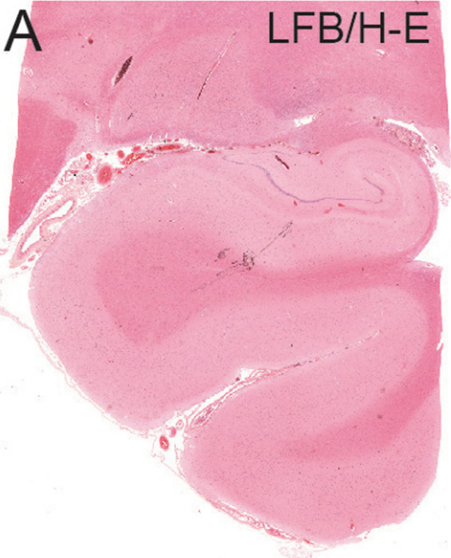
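The hippocampus forms a curled, C-shaped arrangement of darker pink cell layers lying roughly horizontally in the upper middle of the section. Above it runs a narrow cleft with thin membranes and several blood vessels cut in cross-section. No individual cells can be made out at this scale; only the layered architecture of the tissue is visible.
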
